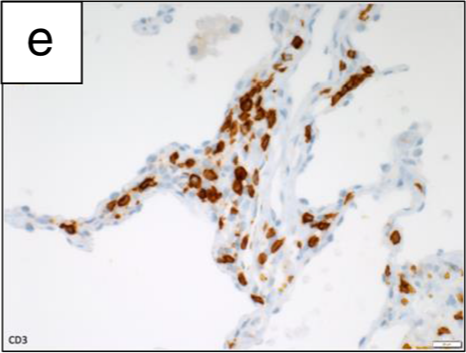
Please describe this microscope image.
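This is lung tissue with thickened alveolar septa that contain many lymphocytes stained brown. The brown cells are small and round to oval, and they crowd along the septal walls, most densely where the septa meet. The remaining septal and lining cells show only pale blue counterstained nuclei.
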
